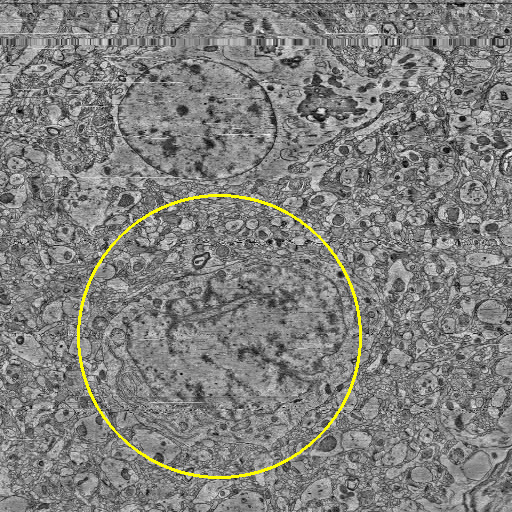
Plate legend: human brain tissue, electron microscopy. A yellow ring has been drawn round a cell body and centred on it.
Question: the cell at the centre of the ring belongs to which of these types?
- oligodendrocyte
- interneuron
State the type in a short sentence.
The cell in the middle of the ring is an interneuron.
